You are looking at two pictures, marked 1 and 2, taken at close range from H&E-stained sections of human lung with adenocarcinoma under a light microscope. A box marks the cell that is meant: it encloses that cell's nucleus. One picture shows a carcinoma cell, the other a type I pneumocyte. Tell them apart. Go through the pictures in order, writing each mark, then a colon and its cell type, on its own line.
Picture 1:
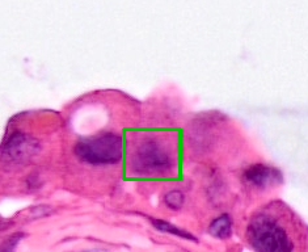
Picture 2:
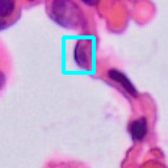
1: carcinoma cell
2: type I pneumocyte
